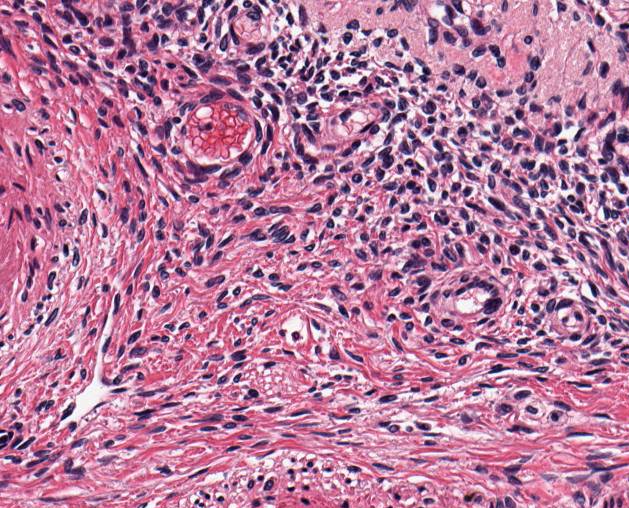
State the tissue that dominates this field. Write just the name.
ovarian cortex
